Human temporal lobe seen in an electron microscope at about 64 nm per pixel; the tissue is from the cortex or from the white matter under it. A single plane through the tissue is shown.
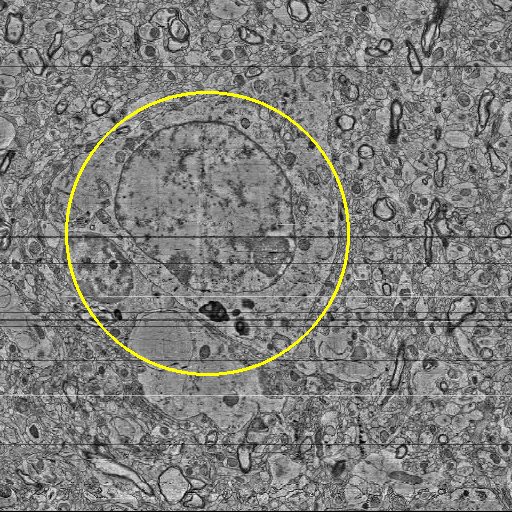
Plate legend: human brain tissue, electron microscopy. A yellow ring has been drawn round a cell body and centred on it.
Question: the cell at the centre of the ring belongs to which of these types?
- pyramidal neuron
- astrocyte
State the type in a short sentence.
The cell in the middle of the ring is a pyramidal neuron.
